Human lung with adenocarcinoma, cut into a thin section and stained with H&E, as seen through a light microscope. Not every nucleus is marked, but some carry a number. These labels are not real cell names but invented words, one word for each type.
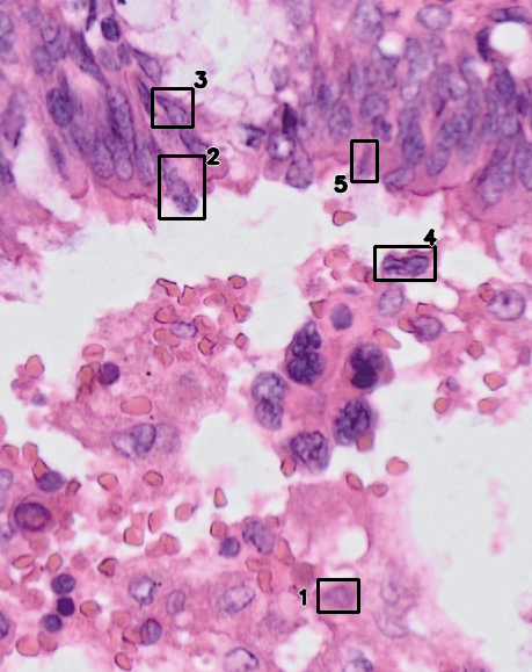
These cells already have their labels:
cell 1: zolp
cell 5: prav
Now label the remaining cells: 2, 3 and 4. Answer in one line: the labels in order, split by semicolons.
prav; prav; zolp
